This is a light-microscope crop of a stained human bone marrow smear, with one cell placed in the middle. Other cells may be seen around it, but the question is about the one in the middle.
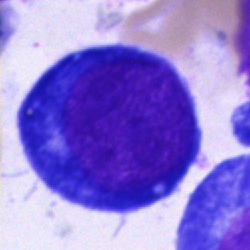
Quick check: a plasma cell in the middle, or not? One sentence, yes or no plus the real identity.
No, the label for the central cell is a proerythroblast, not a plasma cell.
